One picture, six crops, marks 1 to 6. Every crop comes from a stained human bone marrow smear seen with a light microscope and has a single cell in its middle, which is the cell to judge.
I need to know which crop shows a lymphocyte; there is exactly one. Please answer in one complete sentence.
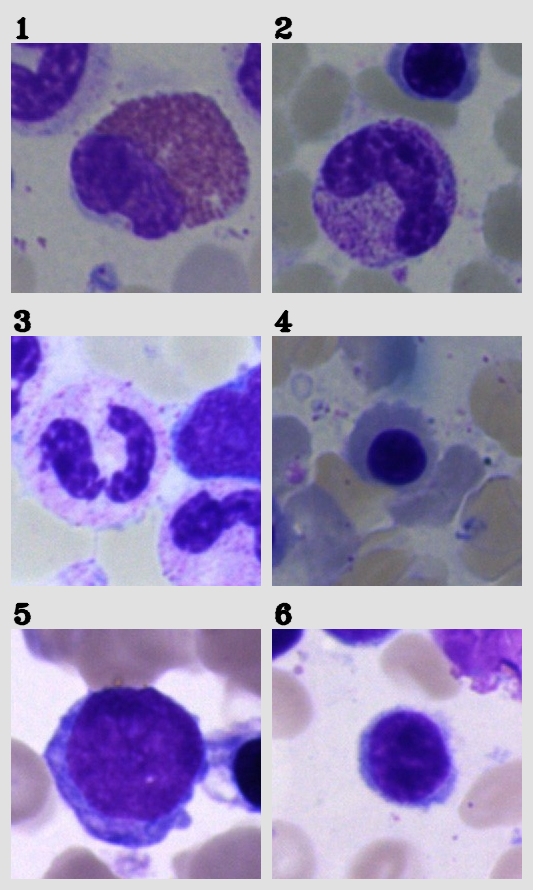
Crop 6 represents a lymphocyte, while the other crops do not.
